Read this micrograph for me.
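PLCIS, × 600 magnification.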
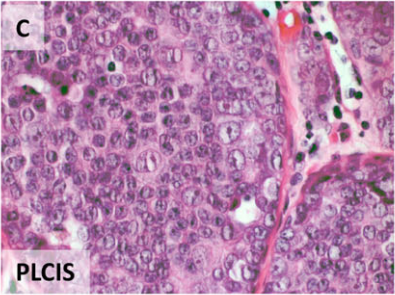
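A nest of atypical epithelial cells fills most of the field, bordered at the right by a thin band of pink stroma and a vessel. The cells are crowded, with moderate pale pink cytoplasm, and their nuclei are large, round to oval, pale and open, many with distinct nucleoli; nuclear size varies clearly from cell to cell. In the stroma and at the upper edge lie small, dark, round nuclei of lymphocytes, several times smaller than the tumour nuclei.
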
